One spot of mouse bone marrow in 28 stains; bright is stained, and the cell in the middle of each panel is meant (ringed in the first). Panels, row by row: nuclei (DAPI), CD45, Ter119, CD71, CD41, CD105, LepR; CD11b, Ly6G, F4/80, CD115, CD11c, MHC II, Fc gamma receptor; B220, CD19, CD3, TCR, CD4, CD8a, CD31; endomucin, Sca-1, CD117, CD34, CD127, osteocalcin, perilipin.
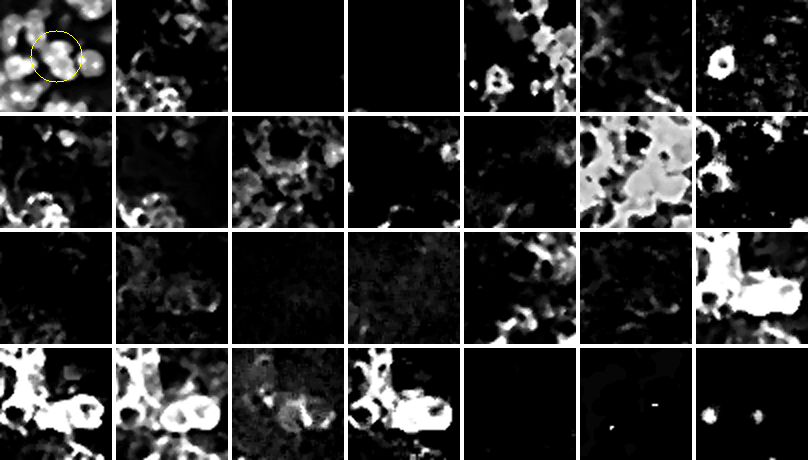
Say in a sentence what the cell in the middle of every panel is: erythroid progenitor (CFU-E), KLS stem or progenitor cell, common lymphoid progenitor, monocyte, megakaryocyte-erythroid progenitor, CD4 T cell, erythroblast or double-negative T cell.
This is a KLS stem or progenitor cell.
